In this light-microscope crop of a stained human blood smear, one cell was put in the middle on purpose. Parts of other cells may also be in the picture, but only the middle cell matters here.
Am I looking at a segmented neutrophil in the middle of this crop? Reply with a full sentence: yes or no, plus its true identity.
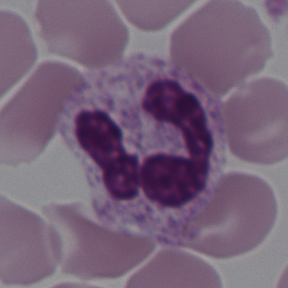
Yes, the centred cell is categorised as a segmented neutrophil.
